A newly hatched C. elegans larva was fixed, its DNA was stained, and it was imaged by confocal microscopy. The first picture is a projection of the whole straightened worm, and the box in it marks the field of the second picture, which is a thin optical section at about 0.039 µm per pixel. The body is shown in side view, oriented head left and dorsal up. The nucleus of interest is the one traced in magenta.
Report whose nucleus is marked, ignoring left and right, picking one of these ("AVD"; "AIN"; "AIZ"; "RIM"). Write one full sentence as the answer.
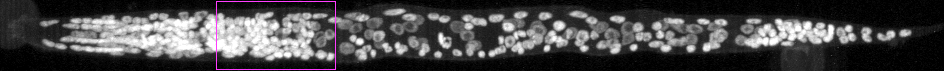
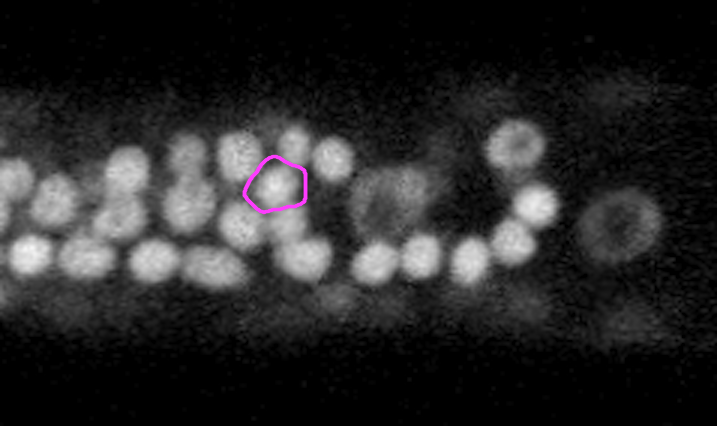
The marked cell is AVD, a neuron.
